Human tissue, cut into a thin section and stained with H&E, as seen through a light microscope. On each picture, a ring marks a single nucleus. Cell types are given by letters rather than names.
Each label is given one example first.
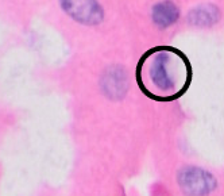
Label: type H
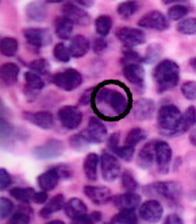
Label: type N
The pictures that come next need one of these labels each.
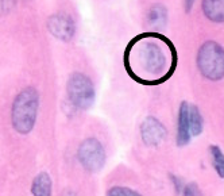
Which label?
type H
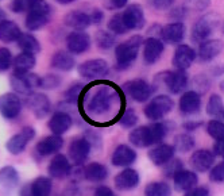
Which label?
type N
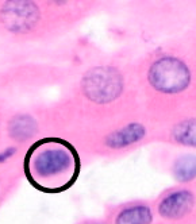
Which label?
type H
